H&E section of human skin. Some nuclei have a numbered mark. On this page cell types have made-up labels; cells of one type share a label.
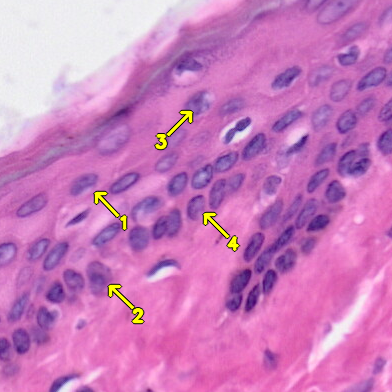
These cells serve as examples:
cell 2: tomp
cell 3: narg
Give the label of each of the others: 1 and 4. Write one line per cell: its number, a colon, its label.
1: narg
4: tomp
